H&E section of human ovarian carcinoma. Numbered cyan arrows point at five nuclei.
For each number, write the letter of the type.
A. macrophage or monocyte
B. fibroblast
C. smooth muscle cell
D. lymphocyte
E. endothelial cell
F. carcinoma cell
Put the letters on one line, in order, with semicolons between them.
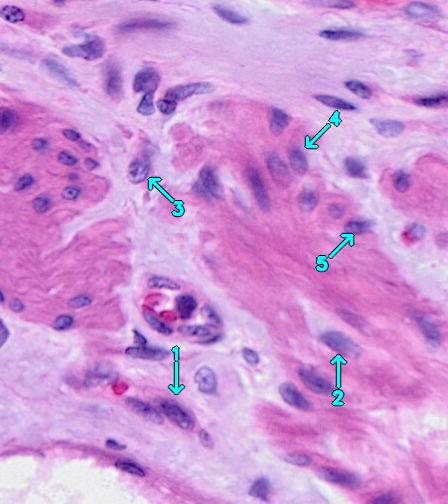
E; C; E; C; C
